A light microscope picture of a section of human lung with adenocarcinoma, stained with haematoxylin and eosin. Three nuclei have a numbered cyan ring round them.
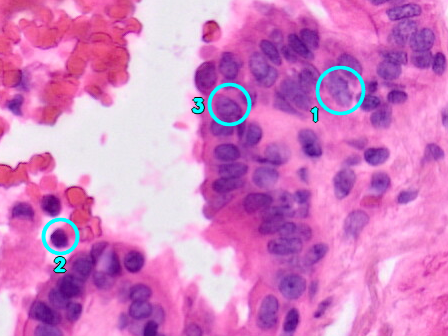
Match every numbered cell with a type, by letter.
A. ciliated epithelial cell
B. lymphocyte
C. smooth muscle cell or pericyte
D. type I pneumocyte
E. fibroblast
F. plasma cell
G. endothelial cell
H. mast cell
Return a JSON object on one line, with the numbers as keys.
{"1": "A", "2": "B", "3": "A"}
